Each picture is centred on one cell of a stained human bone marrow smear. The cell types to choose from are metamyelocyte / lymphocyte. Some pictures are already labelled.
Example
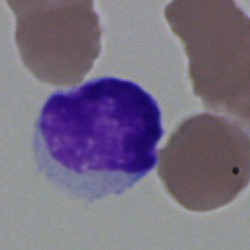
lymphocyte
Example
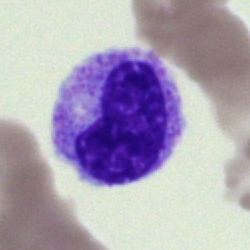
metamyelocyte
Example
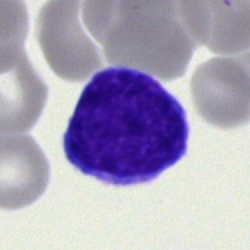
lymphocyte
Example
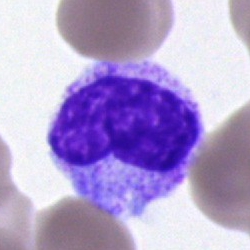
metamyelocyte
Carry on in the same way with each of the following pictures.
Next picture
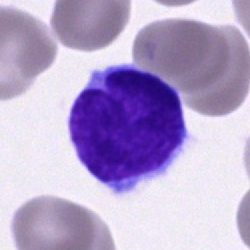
lymphocyte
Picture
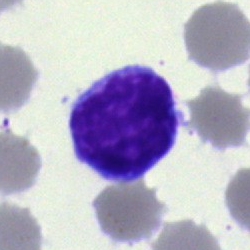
lymphocyte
